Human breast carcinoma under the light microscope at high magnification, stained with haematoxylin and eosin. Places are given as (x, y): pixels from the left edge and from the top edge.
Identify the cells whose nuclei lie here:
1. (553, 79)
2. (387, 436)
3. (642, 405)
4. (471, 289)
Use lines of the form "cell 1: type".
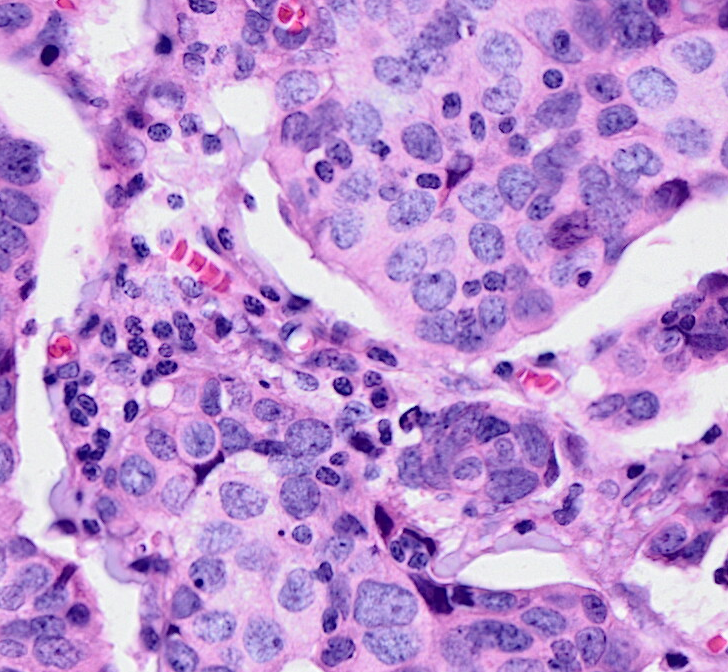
cell 1: lymphocyte
cell 2: lymphocyte
cell 3: carcinoma cell
cell 4: lymphocyte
